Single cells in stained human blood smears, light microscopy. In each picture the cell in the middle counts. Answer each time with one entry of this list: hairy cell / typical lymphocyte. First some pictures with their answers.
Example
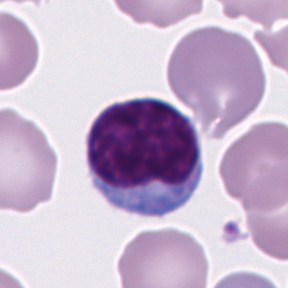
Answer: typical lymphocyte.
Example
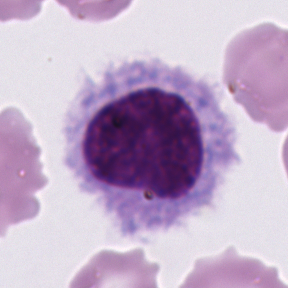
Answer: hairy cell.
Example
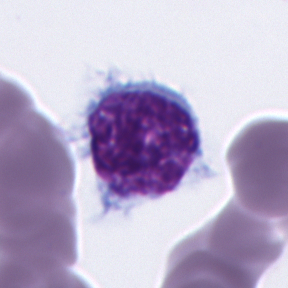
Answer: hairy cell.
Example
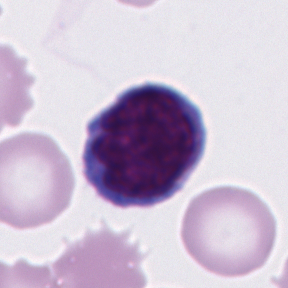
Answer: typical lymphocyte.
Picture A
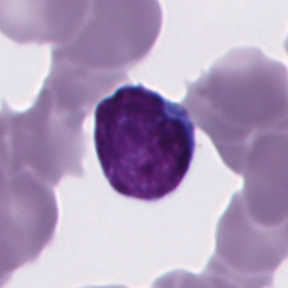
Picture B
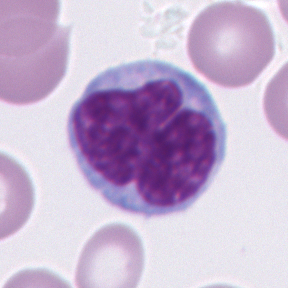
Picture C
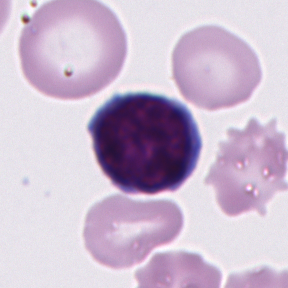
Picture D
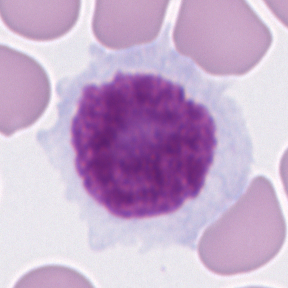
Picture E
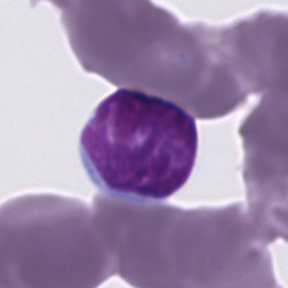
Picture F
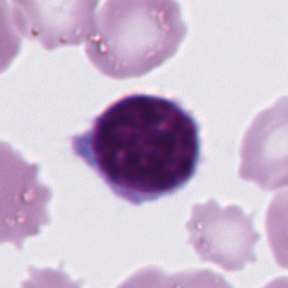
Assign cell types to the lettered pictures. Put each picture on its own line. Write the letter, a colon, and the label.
A: typical lymphocyte.
B: typical lymphocyte.
C: typical lymphocyte.
D: hairy cell.
E: typical lymphocyte.
F: typical lymphocyte.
